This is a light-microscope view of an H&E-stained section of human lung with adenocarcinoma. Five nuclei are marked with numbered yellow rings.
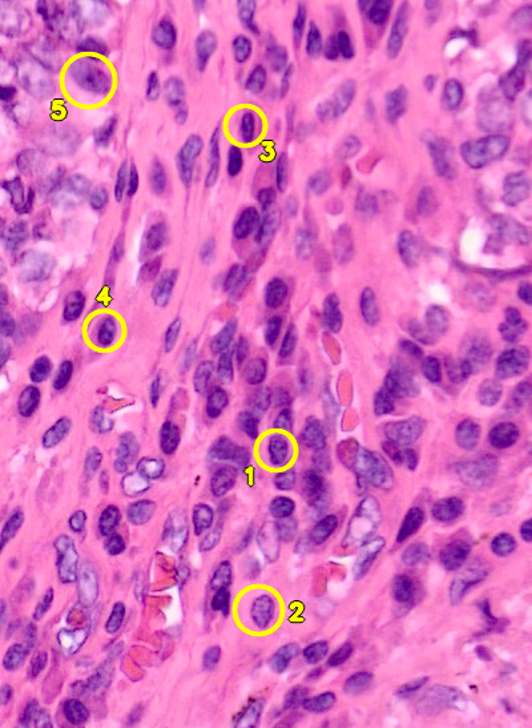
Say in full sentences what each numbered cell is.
Cell 1 is a lymphocyte. Cell 2 is a mast cell. Cells 3 and 4 are plasma cells. Cell 5 is a ciliated epithelial cell.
